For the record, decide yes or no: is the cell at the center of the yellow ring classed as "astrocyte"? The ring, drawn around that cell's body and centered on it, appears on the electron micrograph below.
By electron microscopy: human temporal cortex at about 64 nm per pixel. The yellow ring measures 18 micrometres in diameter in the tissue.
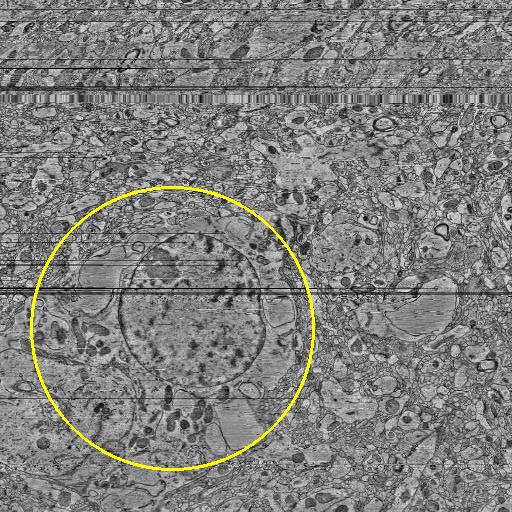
yes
